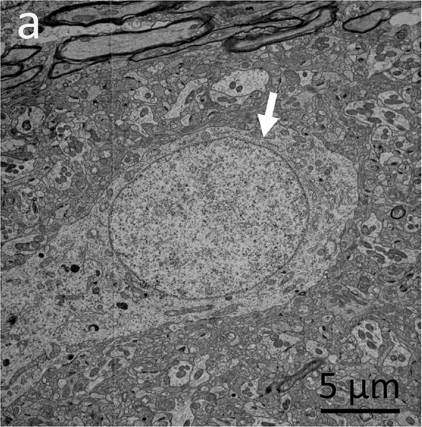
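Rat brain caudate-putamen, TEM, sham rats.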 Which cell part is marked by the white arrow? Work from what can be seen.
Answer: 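The arrow points to a large oval body bounded by a double envelope. Its chromatin is finely dispersed and evenly grey. That points to this answer: cell nucleus.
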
